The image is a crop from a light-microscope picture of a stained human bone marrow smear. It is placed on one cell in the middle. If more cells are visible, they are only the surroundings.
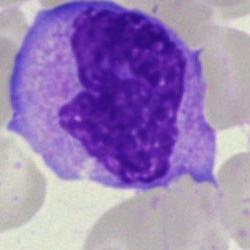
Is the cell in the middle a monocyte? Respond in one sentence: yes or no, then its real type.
Yes, the cell located at the center is a monocyte.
